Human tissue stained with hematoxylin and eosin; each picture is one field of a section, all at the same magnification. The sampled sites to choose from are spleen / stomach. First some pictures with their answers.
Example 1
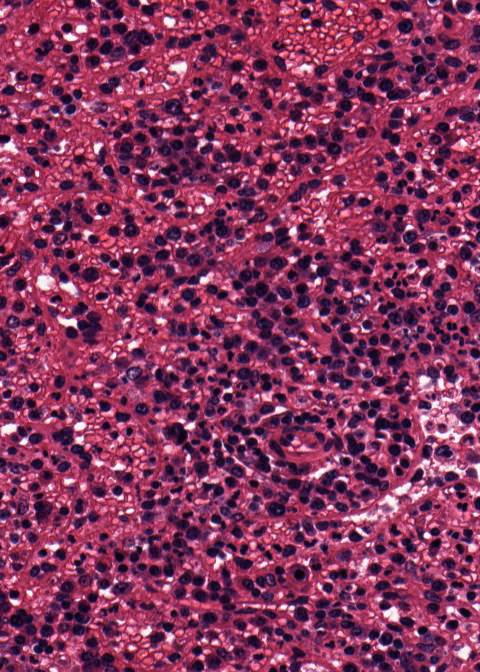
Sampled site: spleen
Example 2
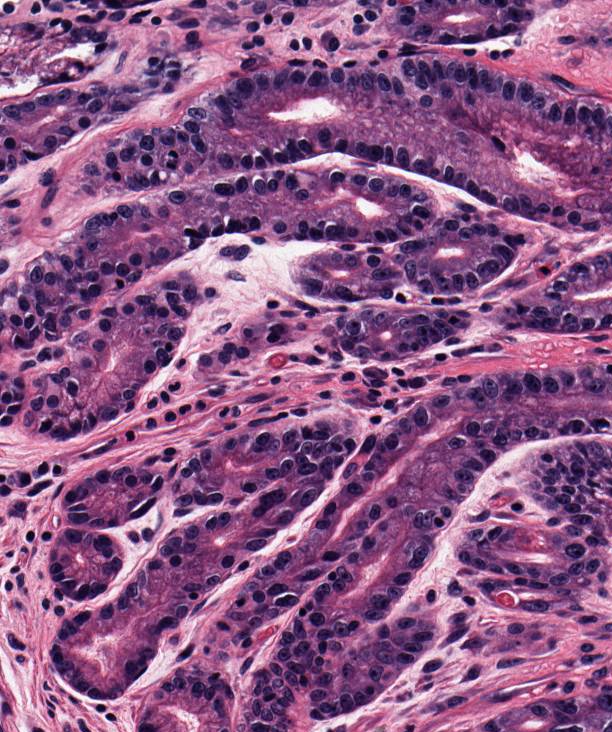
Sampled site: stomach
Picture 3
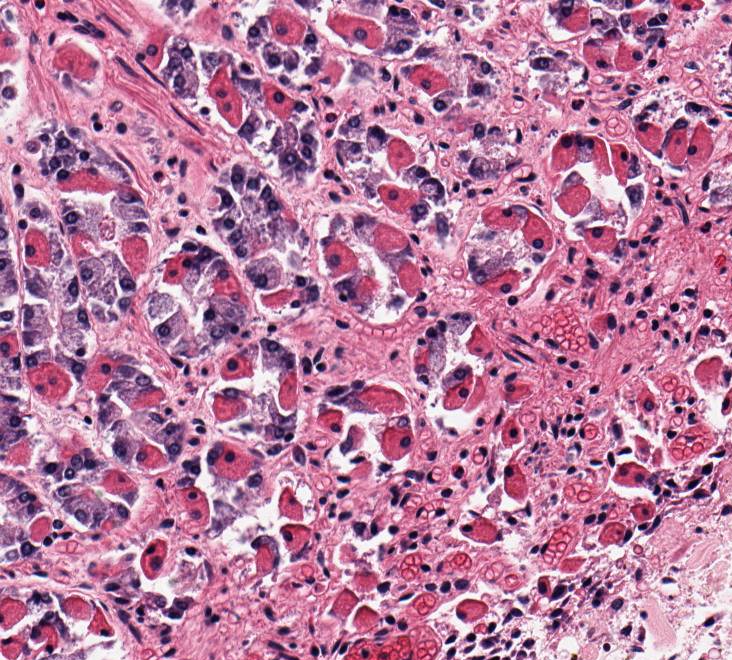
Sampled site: stomach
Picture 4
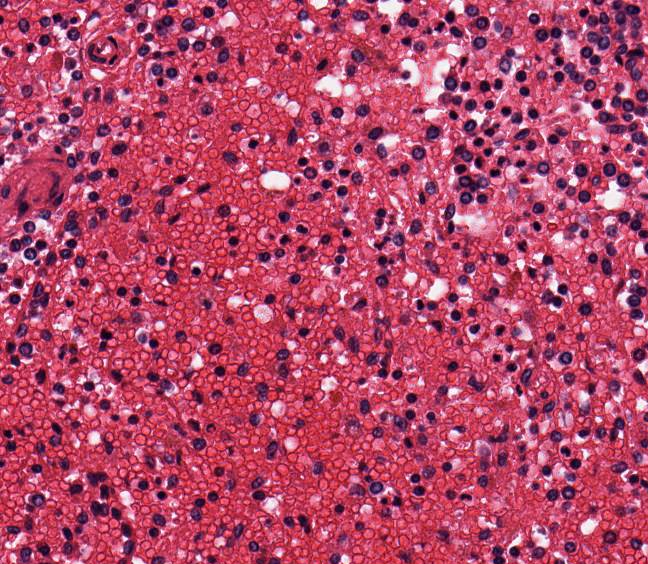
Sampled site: spleen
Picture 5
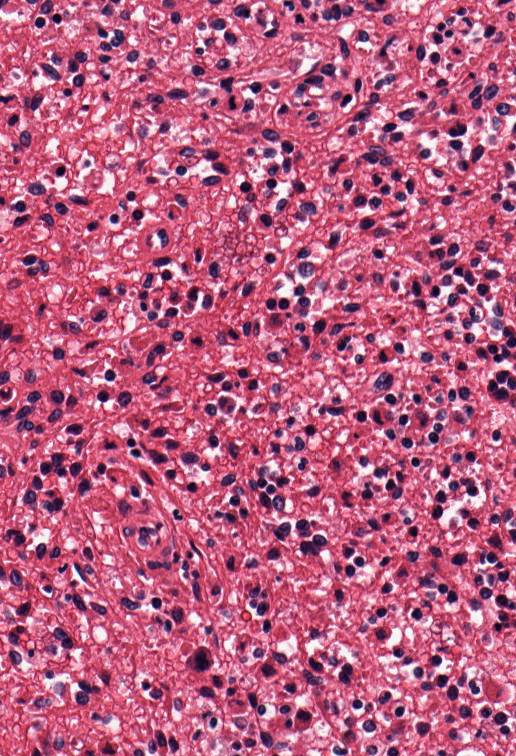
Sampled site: spleen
